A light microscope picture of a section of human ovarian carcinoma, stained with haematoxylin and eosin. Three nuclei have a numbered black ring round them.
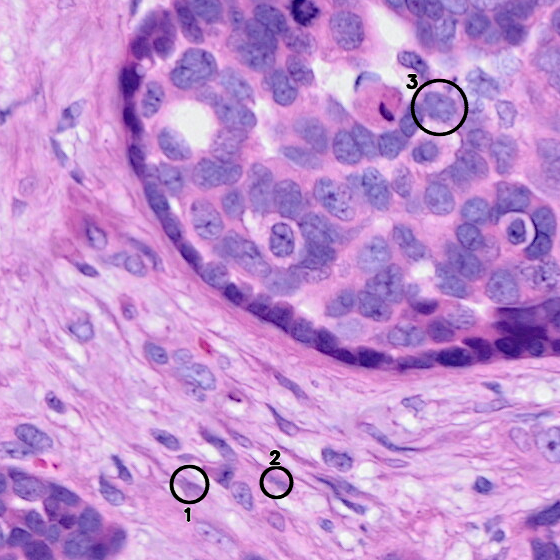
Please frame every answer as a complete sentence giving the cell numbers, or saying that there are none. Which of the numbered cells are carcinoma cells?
It is only cell 3 that is a carcinoma cell among the numbered cells.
